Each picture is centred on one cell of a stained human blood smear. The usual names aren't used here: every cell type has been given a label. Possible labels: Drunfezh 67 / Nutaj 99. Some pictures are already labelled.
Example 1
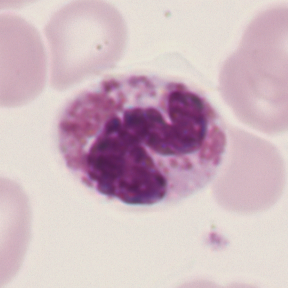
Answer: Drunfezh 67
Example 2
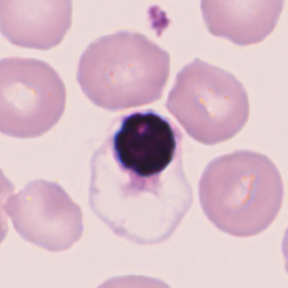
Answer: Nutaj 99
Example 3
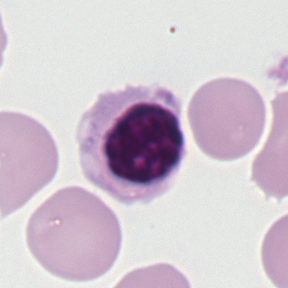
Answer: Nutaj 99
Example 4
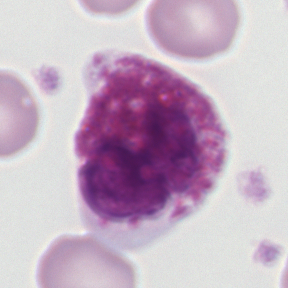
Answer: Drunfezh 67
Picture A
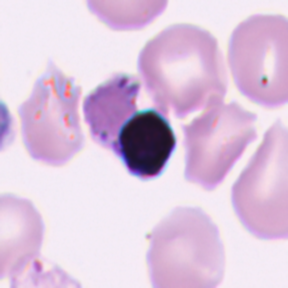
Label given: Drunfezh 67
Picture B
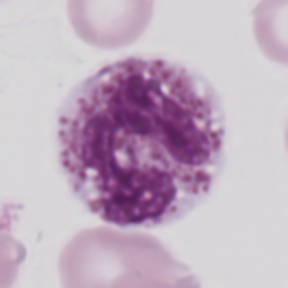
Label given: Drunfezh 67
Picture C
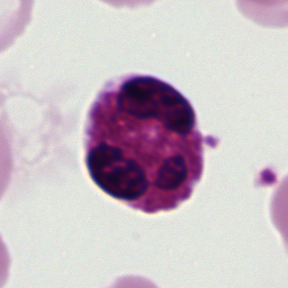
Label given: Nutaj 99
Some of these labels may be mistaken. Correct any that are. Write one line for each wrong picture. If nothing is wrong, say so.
A is labelled Drunfezh 67; correct label: Nutaj 99
C is labelled Nutaj 99; correct label: Drunfezh 67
